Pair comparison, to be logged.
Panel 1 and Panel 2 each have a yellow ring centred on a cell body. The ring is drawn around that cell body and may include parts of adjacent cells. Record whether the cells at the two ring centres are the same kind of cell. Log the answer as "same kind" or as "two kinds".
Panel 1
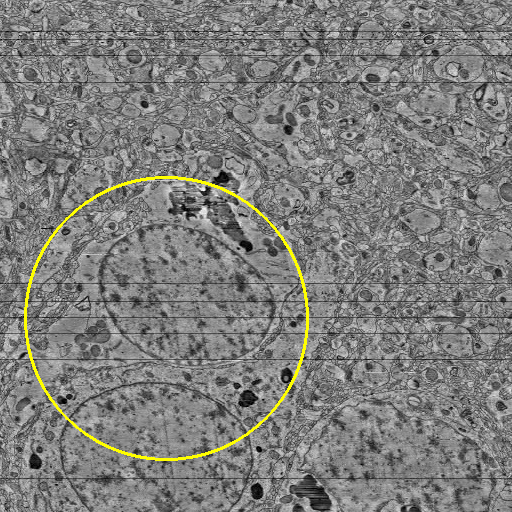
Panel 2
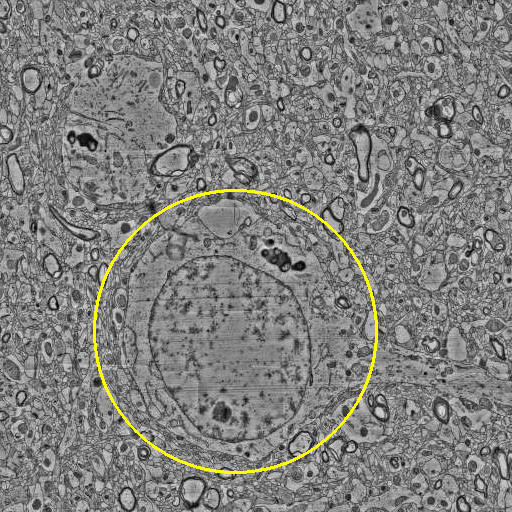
two kinds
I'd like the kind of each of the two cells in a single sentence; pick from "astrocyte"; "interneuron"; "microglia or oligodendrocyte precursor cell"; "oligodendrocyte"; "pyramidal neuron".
The first ring marks an astrocyte, and the second ring marks a pyramidal neuron.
